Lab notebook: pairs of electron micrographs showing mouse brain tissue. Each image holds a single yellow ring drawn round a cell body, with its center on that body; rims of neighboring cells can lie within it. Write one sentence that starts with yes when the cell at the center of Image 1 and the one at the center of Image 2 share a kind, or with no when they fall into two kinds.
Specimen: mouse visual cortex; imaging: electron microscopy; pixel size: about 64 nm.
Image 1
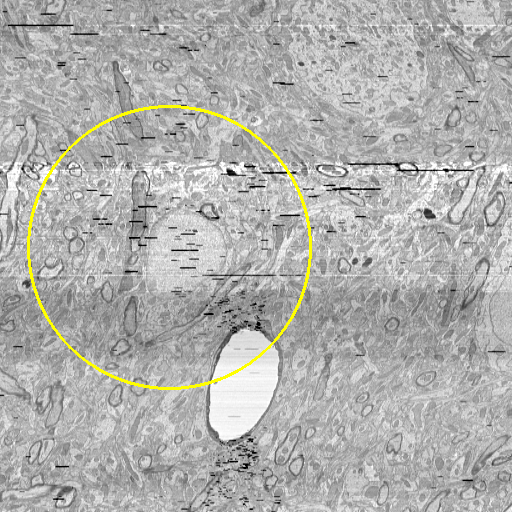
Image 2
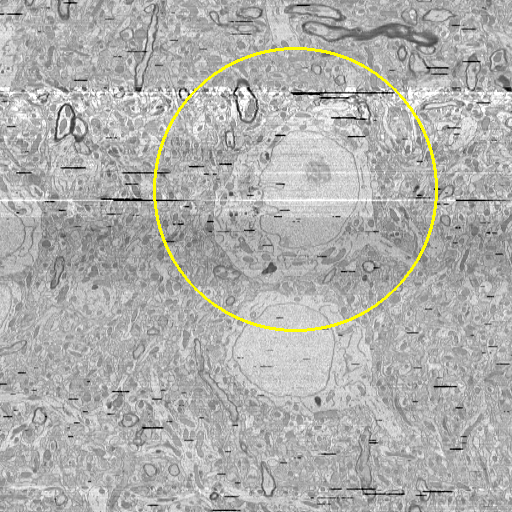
No, the centered cell in Image 1 and the centered cell in Image 2 are of two kinds.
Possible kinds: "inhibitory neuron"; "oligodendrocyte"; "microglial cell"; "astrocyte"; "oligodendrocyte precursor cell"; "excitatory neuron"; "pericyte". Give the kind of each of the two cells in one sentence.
The cell in the second picture is an excitatory neuron, and that in the first is an astrocyte.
